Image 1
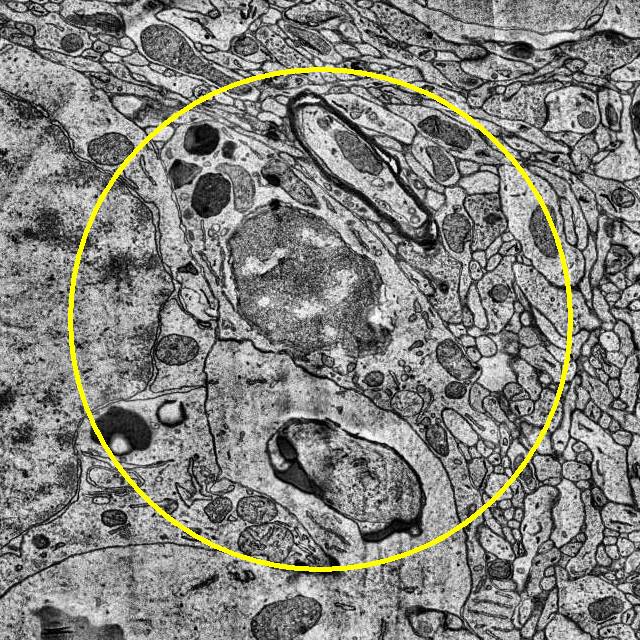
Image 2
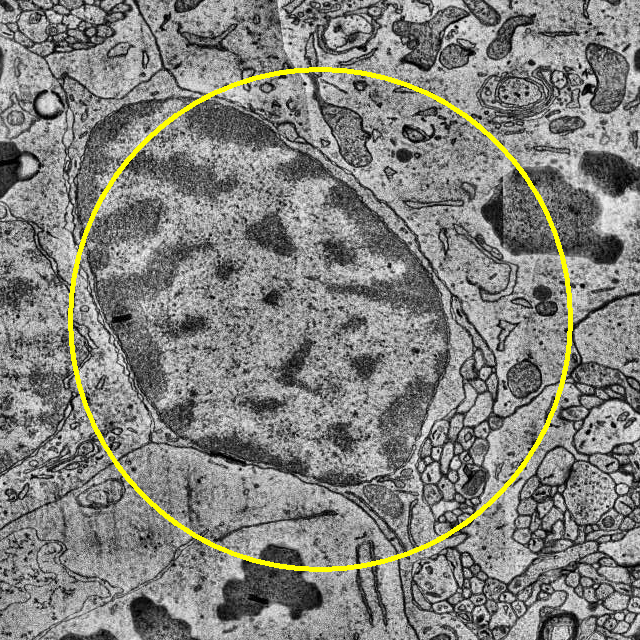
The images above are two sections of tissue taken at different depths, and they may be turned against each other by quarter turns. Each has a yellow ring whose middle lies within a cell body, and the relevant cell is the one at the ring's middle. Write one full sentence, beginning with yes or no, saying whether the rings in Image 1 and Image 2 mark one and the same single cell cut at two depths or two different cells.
Yes, the same cell appears within both yellow rings.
